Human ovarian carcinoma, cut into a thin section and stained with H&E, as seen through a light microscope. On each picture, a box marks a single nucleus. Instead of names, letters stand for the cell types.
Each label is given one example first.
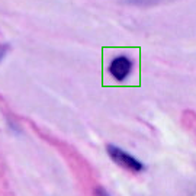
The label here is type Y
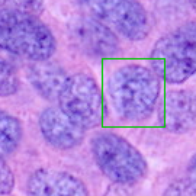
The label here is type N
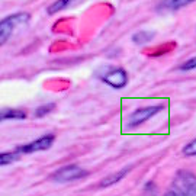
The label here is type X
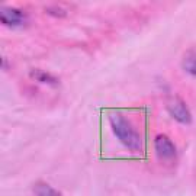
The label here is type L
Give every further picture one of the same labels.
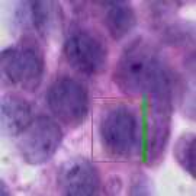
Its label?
type N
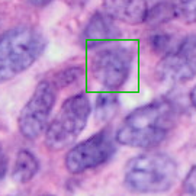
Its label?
type N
